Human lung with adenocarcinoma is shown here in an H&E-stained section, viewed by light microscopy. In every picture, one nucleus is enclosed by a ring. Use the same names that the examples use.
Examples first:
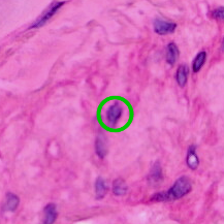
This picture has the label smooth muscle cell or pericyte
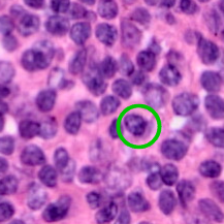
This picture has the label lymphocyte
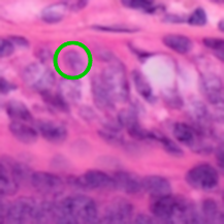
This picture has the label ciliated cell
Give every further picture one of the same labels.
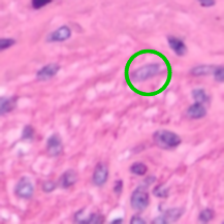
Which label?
smooth muscle cell or pericyte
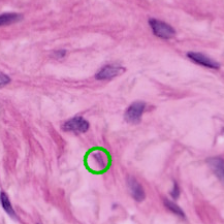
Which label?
smooth muscle cell or pericyte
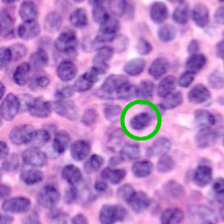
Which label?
lymphocyte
